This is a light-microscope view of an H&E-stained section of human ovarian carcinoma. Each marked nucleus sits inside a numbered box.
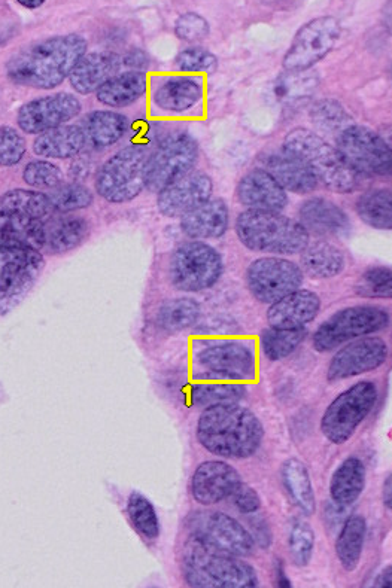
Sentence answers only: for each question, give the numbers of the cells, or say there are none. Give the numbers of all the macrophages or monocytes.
Cell 2 is the only numbered cell that is a macrophage or monocyte.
